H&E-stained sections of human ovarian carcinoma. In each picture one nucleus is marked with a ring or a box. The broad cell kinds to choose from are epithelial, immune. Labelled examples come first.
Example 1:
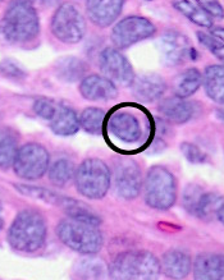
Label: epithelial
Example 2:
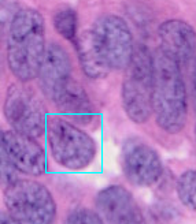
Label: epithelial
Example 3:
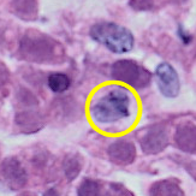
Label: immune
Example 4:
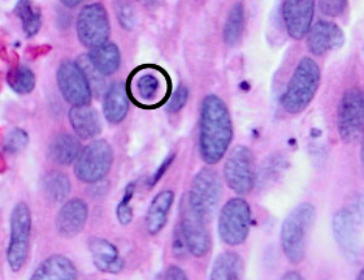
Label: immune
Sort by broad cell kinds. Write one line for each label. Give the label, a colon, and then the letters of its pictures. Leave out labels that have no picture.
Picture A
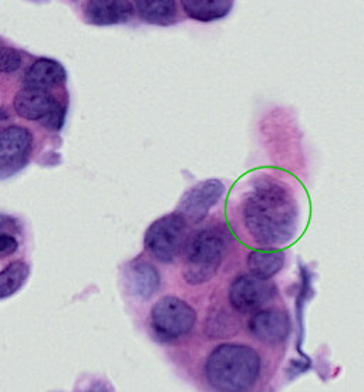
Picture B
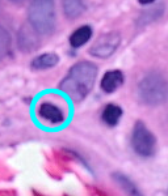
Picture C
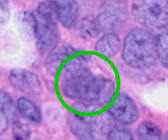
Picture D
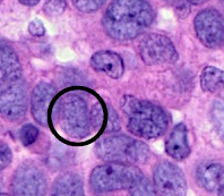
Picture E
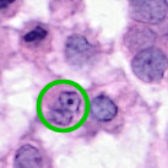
epithelial: A, C, D
immune: B, E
